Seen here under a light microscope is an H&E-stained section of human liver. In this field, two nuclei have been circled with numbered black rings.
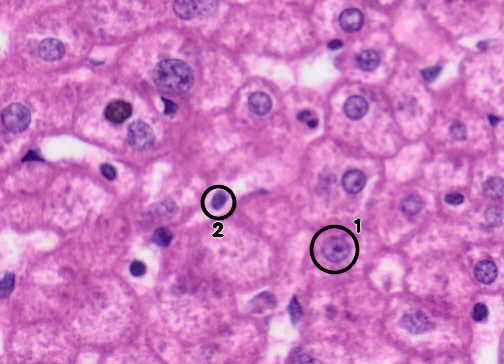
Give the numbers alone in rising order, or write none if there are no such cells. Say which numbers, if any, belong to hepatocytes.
1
